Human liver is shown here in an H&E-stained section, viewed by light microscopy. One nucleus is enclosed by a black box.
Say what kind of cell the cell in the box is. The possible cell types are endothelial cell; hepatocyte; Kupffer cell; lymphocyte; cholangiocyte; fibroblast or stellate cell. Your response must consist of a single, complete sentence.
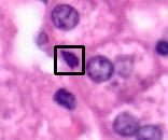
In short, the cell in the box on this section is a fibroblast or stellate cell.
